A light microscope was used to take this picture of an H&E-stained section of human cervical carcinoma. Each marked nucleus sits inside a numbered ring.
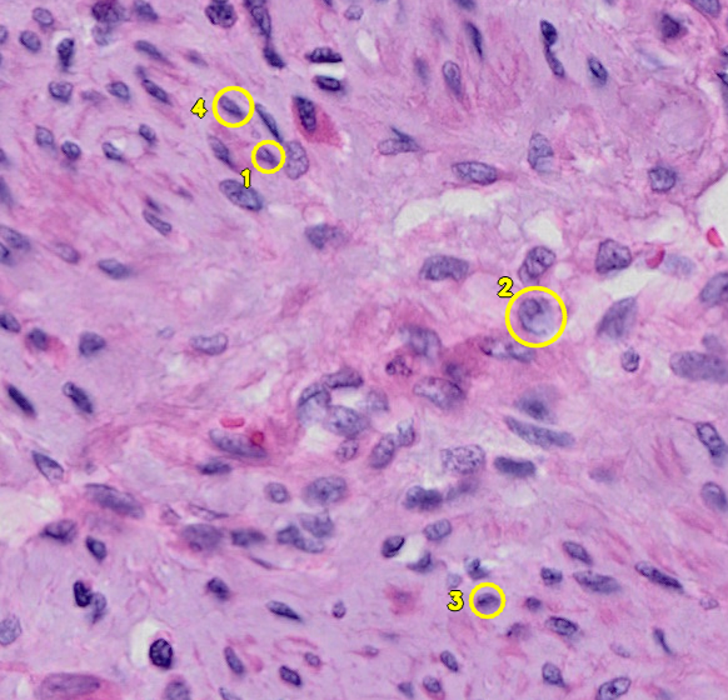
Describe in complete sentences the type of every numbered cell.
Cells 1, 3 and 4 are smooth muscle cells. Cell 2 is an endothelial cell.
